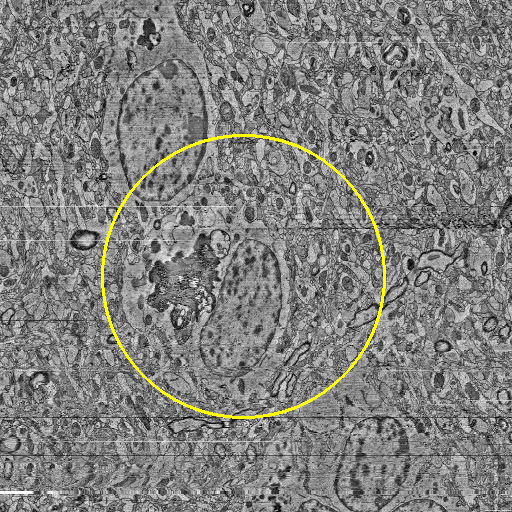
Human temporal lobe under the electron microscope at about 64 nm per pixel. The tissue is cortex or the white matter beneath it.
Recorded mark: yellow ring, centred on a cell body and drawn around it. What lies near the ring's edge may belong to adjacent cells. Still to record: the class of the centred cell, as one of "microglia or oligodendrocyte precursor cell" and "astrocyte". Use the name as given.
astrocyte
